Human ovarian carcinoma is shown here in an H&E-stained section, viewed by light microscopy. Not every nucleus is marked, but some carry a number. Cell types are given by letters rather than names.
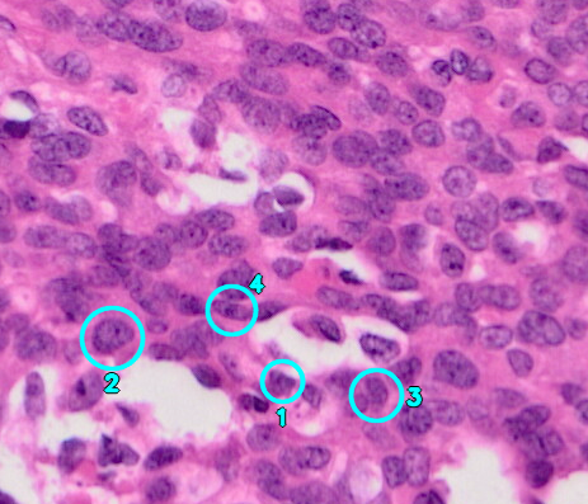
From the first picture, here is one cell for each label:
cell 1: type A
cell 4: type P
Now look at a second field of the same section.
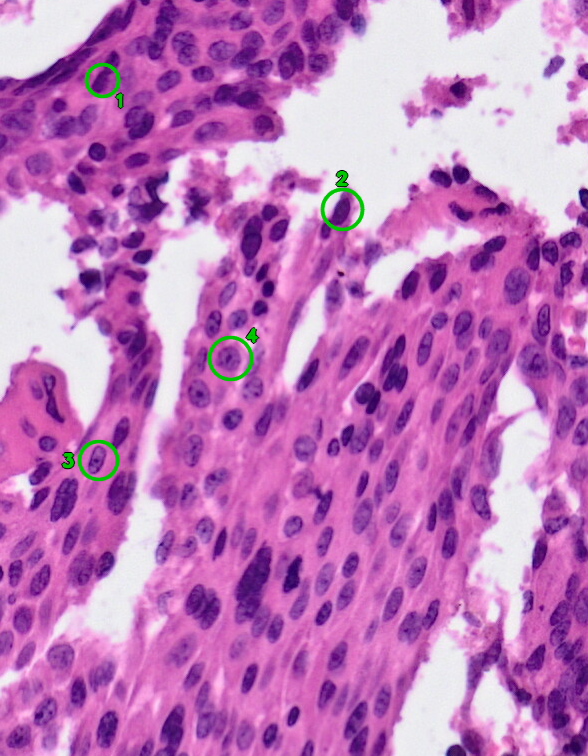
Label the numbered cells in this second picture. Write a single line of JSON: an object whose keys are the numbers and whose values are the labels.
{"1": "type P", "2": "type P", "3": "type A", "4": "type A"}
